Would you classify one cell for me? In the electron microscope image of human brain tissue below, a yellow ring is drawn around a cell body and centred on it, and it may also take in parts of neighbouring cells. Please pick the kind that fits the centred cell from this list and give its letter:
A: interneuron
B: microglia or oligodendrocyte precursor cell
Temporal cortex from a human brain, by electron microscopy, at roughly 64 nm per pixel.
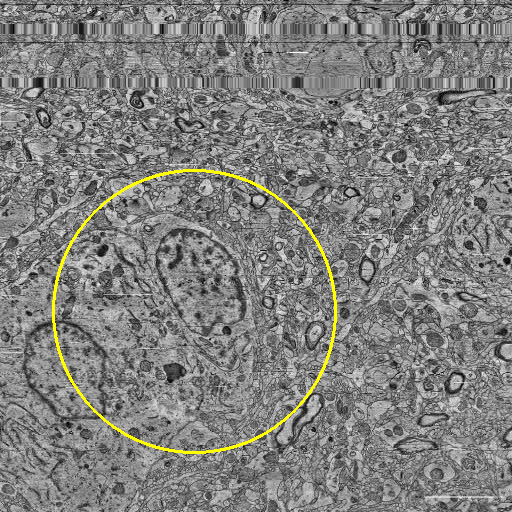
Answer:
B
